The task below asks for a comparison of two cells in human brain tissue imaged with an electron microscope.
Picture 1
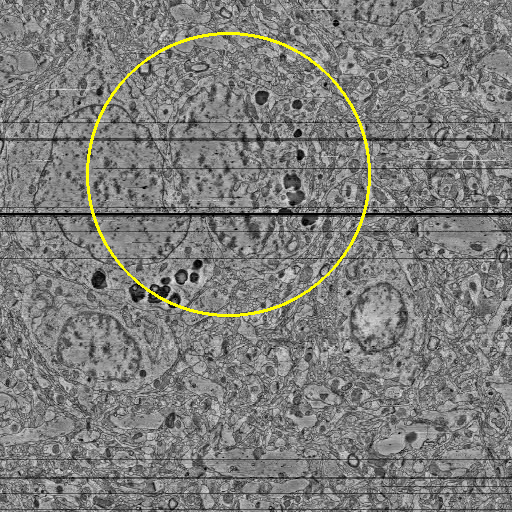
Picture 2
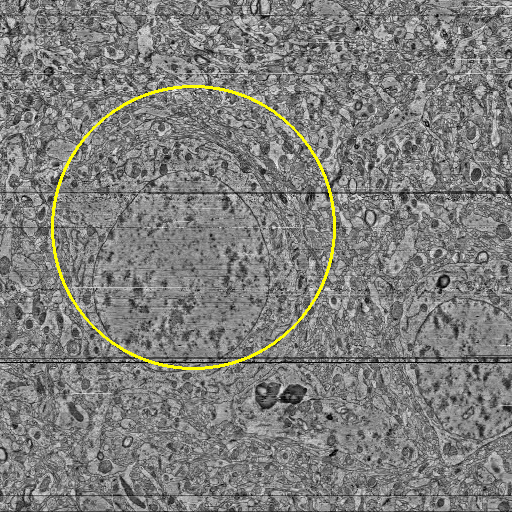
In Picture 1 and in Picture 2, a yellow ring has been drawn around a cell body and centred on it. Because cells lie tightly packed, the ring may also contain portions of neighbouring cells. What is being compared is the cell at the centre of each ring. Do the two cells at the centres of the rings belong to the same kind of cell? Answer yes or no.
no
